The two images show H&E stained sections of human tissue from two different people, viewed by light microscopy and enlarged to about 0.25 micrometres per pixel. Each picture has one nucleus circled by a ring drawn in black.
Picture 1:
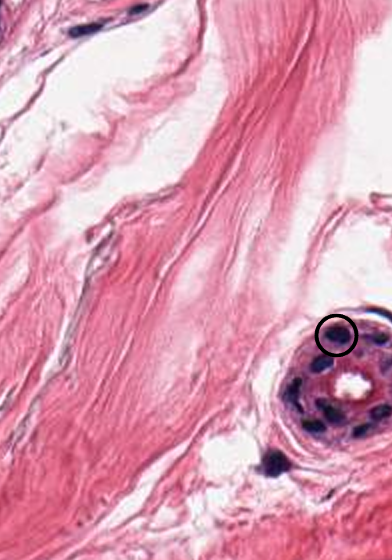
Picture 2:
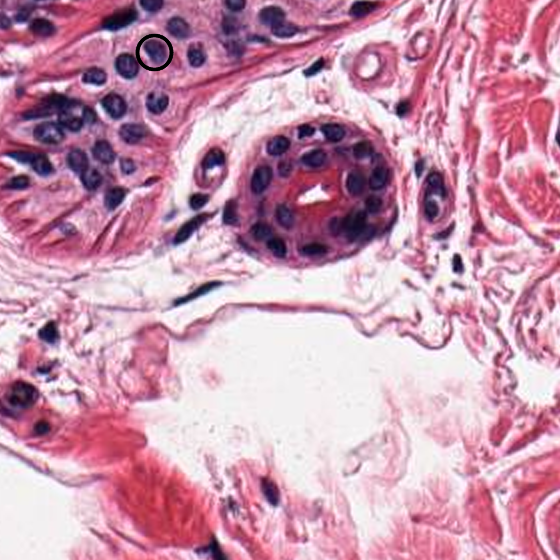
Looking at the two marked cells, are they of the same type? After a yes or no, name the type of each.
Yes, both are sweat gland cells.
